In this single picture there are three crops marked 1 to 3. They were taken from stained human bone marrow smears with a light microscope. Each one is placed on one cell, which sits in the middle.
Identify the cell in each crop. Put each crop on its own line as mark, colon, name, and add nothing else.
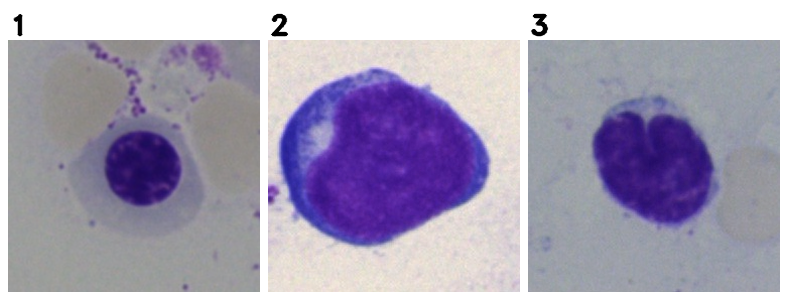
1: erythroblast
2: blast
3: lymphocyte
